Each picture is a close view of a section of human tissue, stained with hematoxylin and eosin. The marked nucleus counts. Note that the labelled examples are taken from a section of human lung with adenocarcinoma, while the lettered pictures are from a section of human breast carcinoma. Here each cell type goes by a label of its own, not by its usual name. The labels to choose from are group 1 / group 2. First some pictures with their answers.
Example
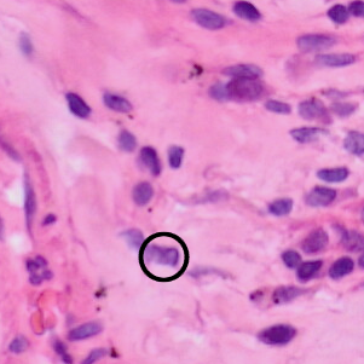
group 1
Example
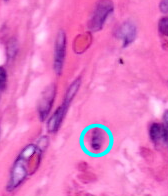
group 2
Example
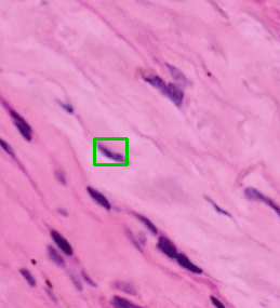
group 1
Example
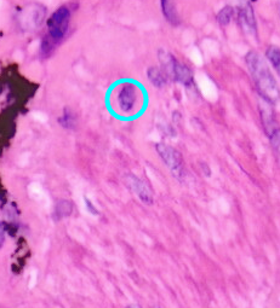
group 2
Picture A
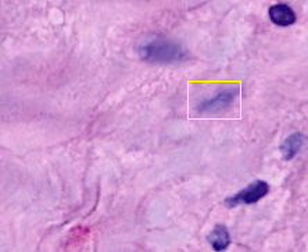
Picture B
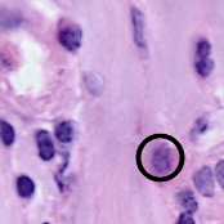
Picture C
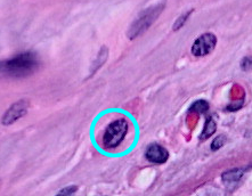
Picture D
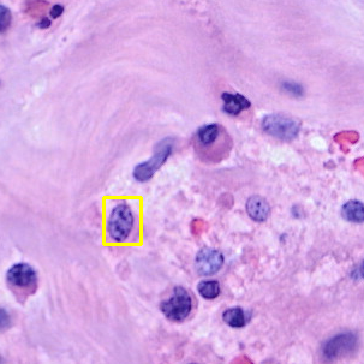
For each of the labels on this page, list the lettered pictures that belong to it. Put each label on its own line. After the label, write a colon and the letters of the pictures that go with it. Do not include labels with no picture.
group 1: A
group 2: B, C, D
